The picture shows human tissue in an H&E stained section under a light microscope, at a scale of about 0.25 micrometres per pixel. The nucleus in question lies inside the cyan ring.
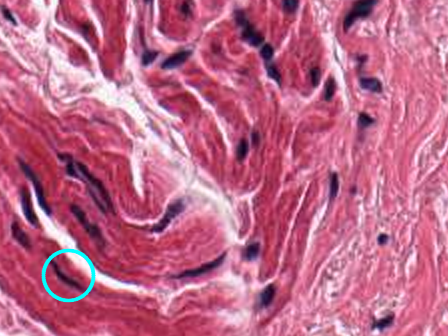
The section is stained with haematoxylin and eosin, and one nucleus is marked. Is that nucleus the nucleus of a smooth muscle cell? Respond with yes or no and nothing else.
yes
